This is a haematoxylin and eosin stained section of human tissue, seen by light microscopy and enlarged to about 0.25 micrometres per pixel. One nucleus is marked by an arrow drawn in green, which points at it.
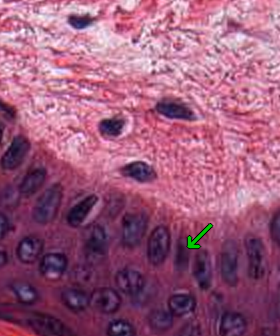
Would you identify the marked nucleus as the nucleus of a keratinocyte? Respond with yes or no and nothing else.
yes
